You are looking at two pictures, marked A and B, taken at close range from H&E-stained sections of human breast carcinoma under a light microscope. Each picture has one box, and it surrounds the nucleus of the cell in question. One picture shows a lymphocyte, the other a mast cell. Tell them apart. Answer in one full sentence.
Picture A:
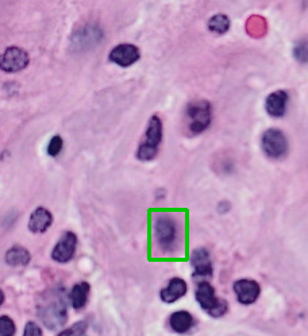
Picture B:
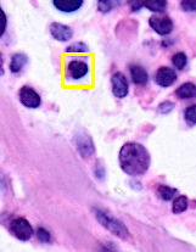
Picture A shows a mast cell and picture B shows a lymphocyte.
